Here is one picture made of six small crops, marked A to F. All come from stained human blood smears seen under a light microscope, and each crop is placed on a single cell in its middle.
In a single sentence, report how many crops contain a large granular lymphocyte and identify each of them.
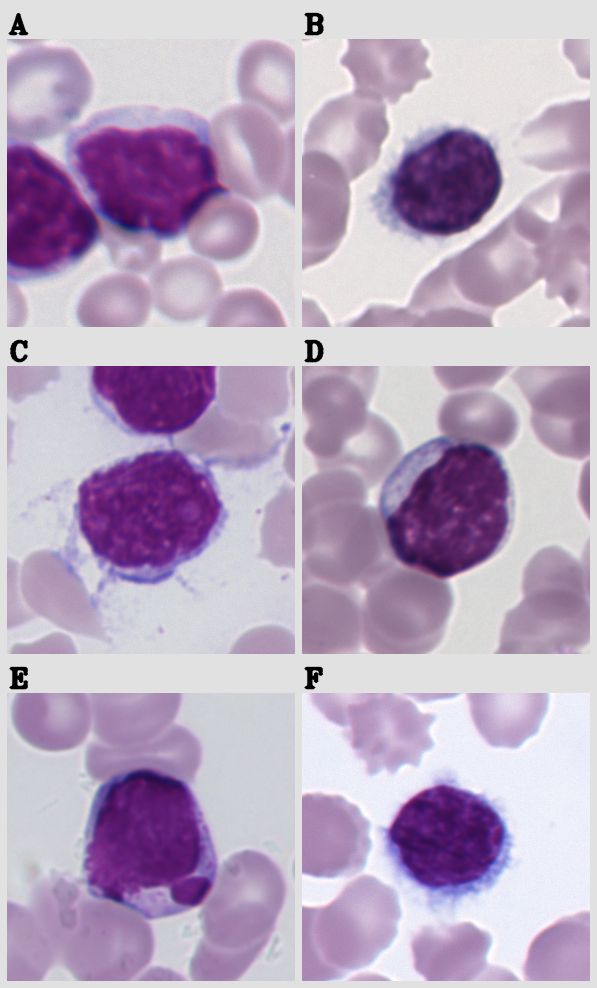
Altogether, crops A, D and E show large granular lymphocytes, giving three crops.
